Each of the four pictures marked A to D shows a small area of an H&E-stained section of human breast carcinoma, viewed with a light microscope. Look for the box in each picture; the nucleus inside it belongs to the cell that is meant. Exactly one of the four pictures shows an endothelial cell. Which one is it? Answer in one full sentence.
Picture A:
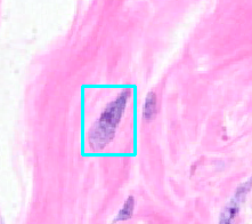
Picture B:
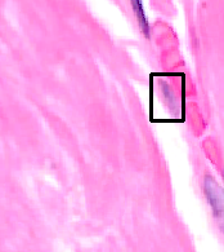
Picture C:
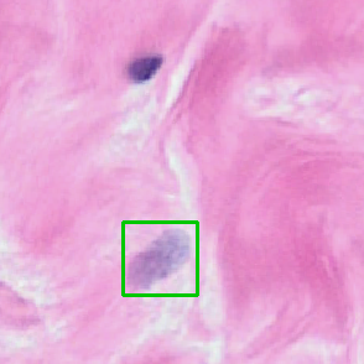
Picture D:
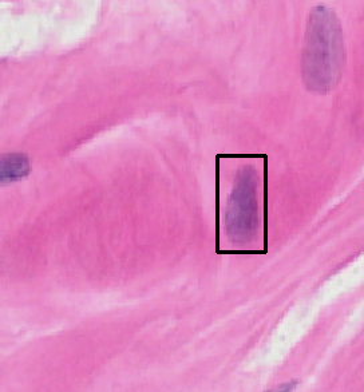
The cell in picture B is the endothelial cell.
